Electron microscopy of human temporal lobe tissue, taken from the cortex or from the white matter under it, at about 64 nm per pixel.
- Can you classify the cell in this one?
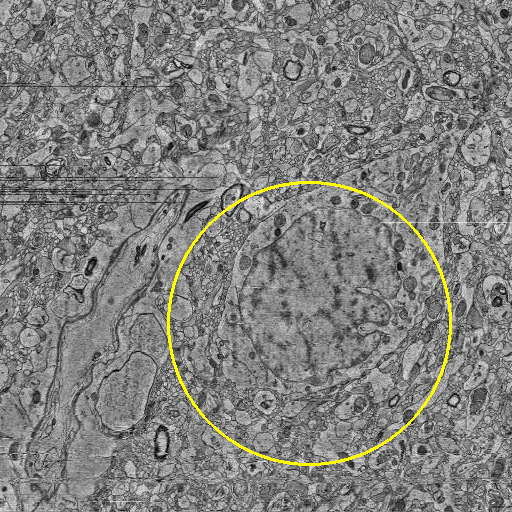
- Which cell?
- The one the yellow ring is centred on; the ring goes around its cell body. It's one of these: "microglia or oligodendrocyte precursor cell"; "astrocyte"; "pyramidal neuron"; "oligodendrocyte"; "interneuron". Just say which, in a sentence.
The cell body in the ring belongs to an interneuron.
